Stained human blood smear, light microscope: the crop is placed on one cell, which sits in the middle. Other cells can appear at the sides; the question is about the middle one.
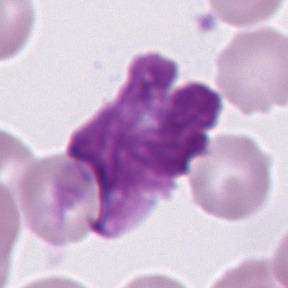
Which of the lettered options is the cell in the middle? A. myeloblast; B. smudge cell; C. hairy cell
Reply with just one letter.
B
